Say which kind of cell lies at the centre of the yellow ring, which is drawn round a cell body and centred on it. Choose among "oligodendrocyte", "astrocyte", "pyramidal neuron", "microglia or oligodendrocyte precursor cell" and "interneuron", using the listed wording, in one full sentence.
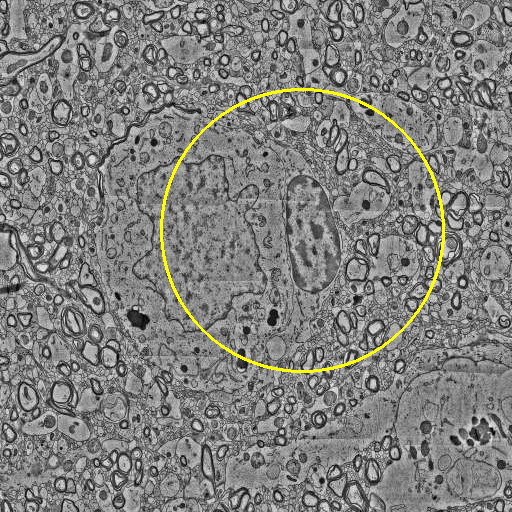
Going by the list, the cell at the yellow ring's centre is a microglial cell or oligodendrocyte precursor cell.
